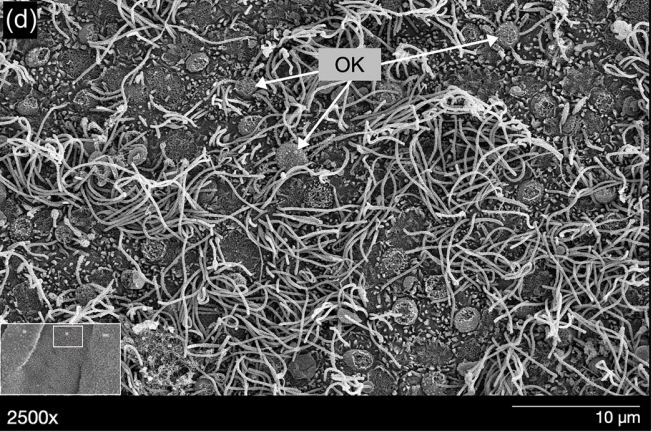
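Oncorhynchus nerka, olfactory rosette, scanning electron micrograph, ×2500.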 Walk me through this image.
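The surface of this epithelium is overlain by a dense, tangled mat of long, slender, curving cilia running in all directions. Scattered among them are small rounded knob-like swellings, some bearing short projections, set on a flat cell surface dotted with fine microvilli.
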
